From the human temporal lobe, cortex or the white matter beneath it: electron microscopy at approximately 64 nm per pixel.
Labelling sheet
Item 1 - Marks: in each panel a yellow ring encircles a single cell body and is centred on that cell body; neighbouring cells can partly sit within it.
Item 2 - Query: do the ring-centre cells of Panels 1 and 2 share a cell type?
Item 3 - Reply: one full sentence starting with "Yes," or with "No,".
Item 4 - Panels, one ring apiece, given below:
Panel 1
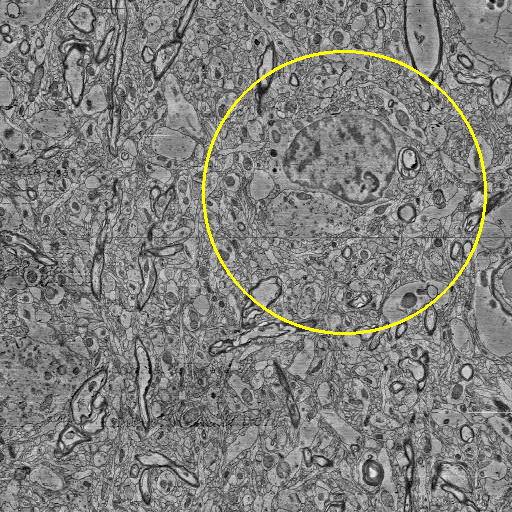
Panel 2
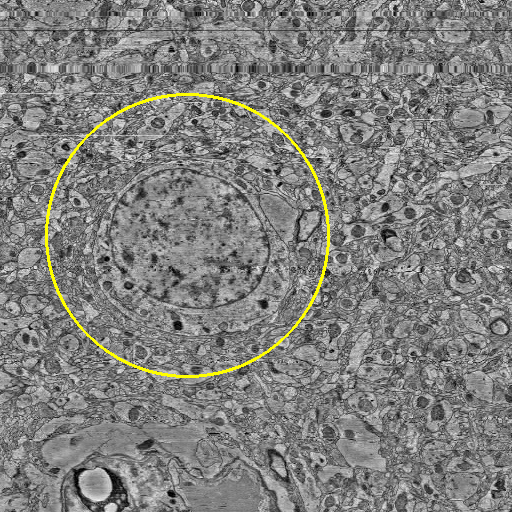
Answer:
No, Panel 1 and Panel 2 show two cell types at the centres of their rings.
